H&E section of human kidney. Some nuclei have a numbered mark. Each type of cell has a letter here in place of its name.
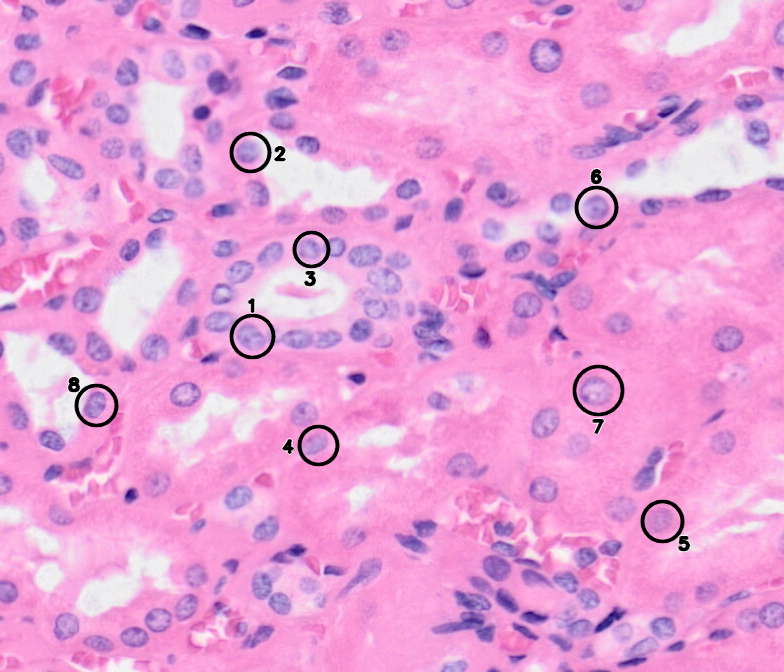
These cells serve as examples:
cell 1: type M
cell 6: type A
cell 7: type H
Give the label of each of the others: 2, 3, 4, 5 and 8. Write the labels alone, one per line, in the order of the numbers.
type A
type M
type H
type H
type A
